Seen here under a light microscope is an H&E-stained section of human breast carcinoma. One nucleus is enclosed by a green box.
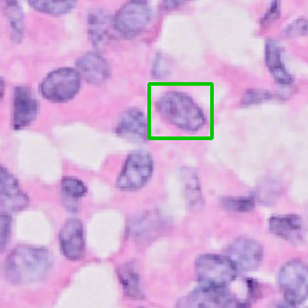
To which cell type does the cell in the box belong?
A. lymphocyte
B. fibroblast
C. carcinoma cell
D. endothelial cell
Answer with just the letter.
C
